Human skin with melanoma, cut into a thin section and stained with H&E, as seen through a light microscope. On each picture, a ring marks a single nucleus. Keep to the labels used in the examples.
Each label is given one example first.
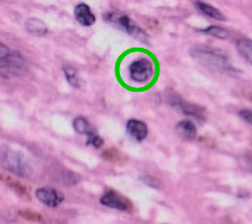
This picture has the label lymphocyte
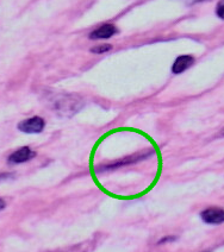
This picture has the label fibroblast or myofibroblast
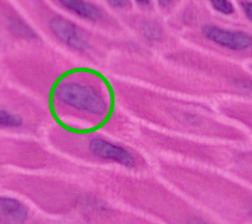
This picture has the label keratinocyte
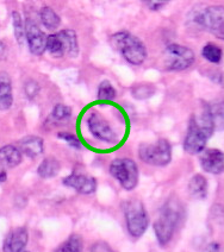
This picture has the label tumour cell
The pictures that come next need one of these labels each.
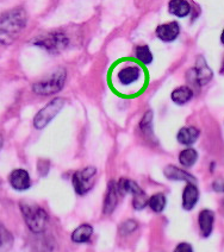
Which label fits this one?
lymphocyte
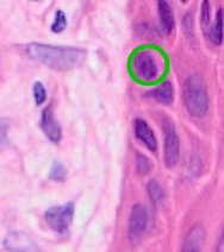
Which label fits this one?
keratinocyte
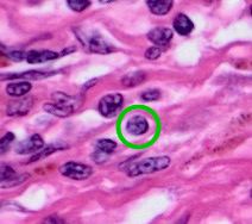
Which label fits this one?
lymphocyte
